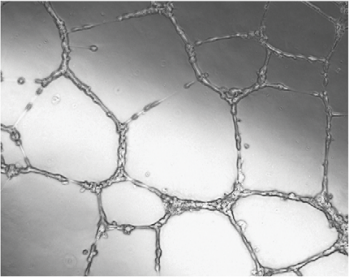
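Cultured endothelial cells in phase contrast have organised themselves into tubular structures. Their cords are somewhat thicker than single cells in places, with cells piled along them and gathered at the branching points. The cords enclose large rounded to polygonal empty spaces, and a few isolated round cells lie loose within them.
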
